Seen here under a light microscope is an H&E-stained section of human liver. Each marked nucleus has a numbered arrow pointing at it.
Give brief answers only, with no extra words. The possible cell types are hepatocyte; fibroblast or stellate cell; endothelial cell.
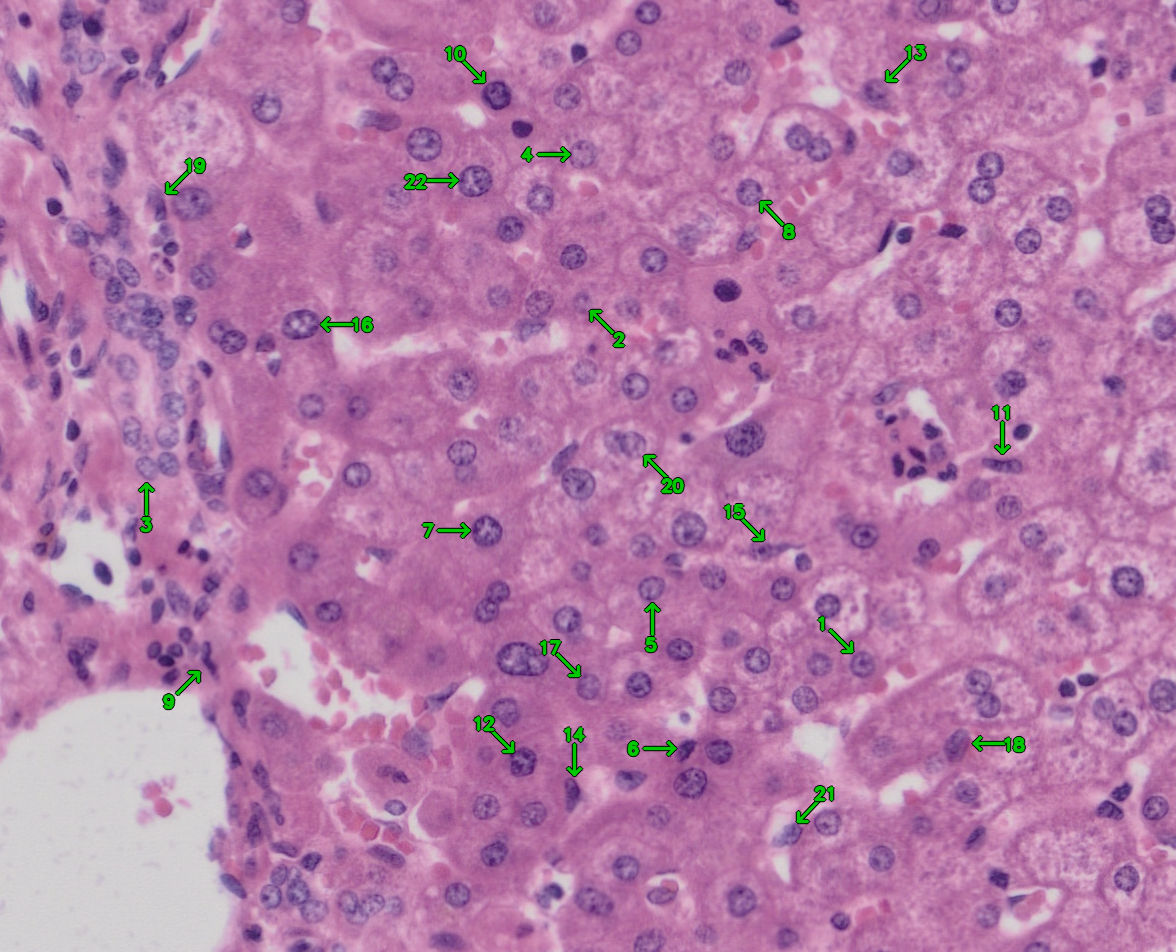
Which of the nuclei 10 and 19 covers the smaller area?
19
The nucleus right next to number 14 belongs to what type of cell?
hepatocyte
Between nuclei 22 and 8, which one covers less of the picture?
8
